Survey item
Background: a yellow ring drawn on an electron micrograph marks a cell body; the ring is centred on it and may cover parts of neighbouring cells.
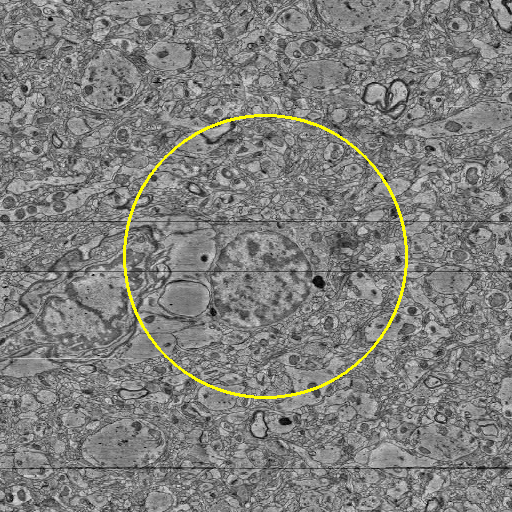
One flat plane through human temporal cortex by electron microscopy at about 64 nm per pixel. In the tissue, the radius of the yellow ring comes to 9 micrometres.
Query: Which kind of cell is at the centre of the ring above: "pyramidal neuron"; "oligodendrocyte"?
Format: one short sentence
The cell in the middle of the ring is an oligodendrocyte.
